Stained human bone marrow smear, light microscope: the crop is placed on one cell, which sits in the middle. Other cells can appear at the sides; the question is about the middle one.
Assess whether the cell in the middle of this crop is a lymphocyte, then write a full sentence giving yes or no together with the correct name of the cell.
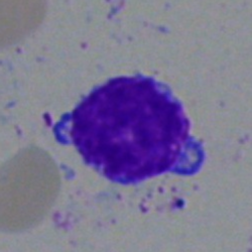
Yes, the cell in the middle of this smear crop is a lymphocyte.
